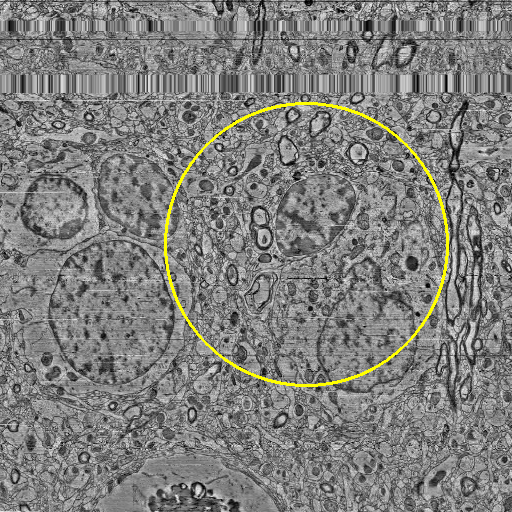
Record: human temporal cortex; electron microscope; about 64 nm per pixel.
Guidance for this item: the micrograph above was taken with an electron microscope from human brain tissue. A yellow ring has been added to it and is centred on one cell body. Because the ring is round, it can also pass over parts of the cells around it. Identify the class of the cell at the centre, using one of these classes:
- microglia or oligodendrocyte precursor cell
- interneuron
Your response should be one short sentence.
The ring surrounds the body of a microglial cell or oligodendrocyte precursor cell.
